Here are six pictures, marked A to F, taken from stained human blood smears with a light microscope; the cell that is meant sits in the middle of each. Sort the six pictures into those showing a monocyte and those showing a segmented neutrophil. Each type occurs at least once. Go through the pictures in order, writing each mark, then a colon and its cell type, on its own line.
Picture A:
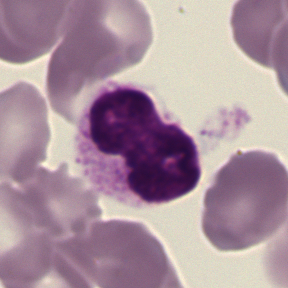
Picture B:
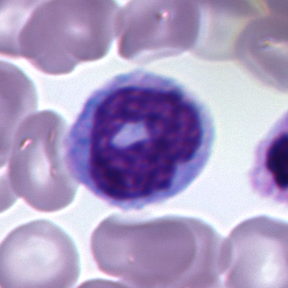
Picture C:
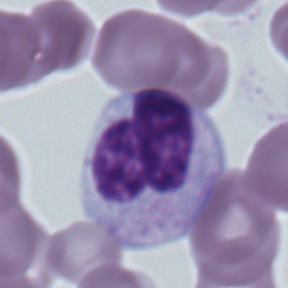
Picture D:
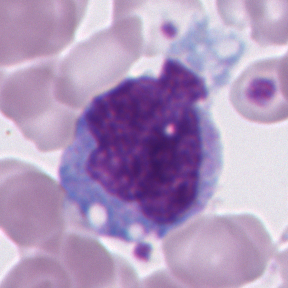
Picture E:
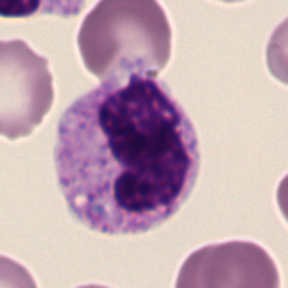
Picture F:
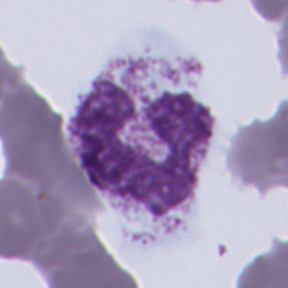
A: segmented neutrophil
B: monocyte
C: segmented neutrophil
D: monocyte
E: segmented neutrophil
F: segmented neutrophil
